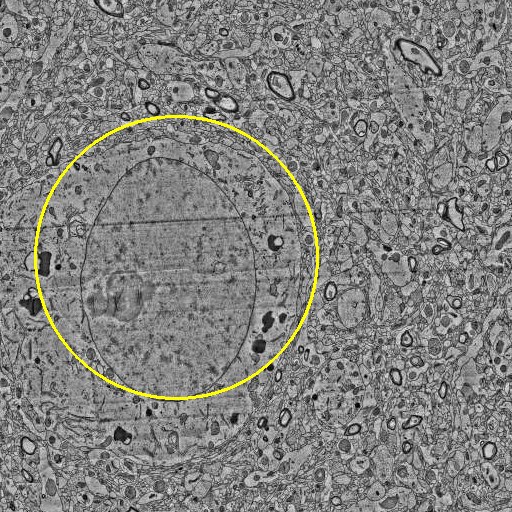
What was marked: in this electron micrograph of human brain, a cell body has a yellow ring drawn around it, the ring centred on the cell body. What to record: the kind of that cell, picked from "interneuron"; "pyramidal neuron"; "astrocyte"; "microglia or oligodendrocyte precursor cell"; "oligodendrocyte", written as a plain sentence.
The centred cell is a pyramidal neuron.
